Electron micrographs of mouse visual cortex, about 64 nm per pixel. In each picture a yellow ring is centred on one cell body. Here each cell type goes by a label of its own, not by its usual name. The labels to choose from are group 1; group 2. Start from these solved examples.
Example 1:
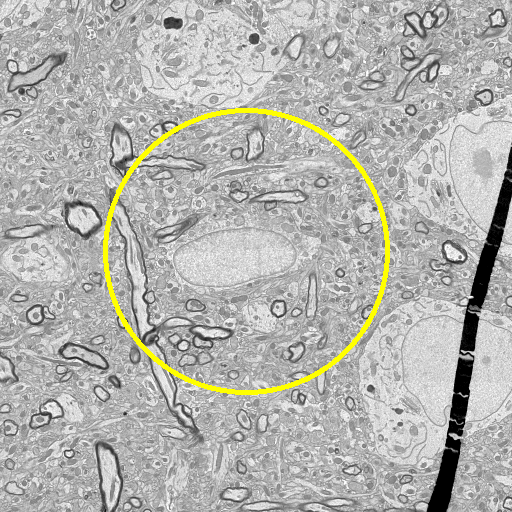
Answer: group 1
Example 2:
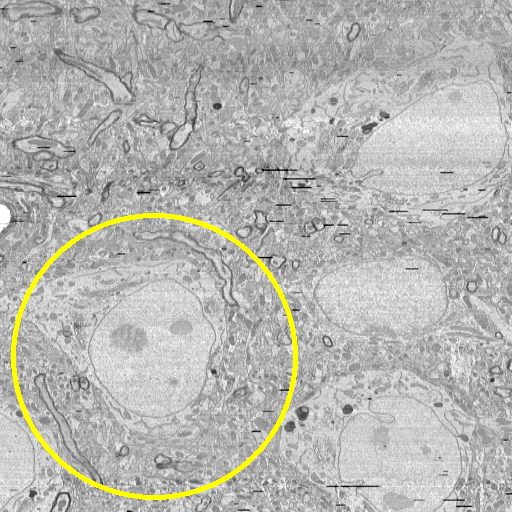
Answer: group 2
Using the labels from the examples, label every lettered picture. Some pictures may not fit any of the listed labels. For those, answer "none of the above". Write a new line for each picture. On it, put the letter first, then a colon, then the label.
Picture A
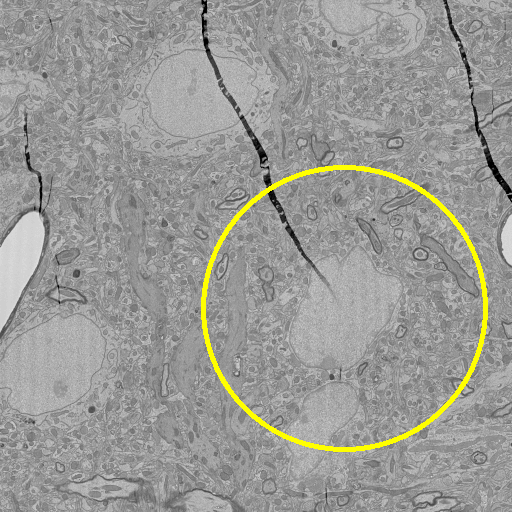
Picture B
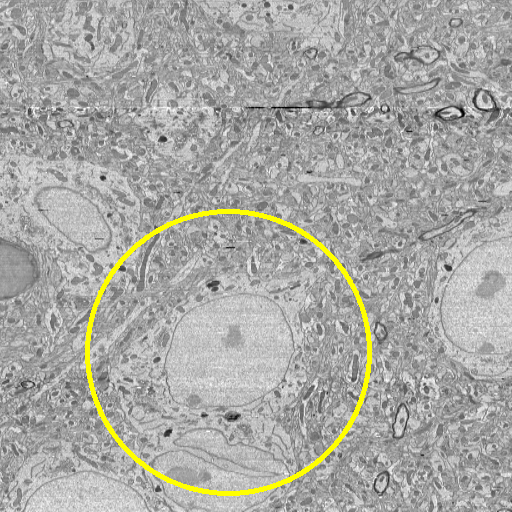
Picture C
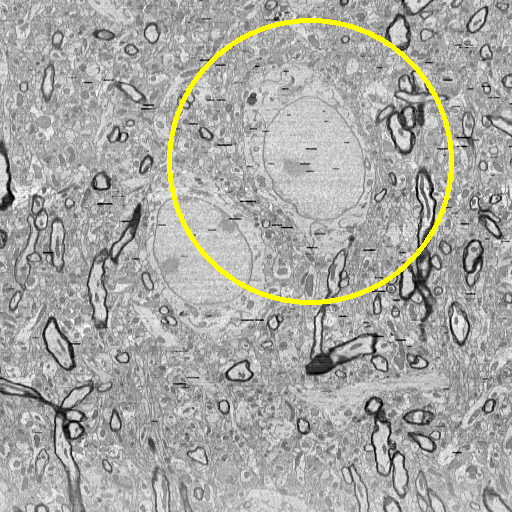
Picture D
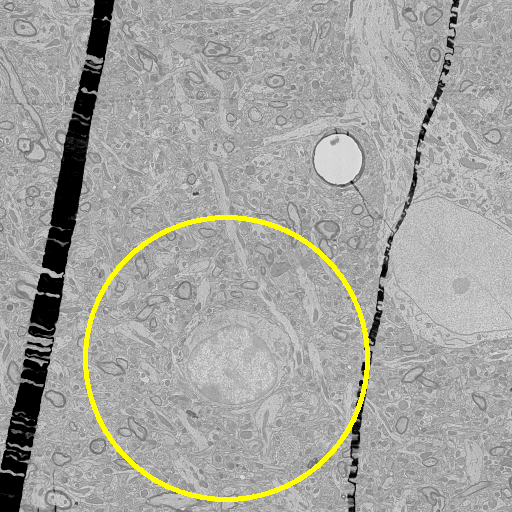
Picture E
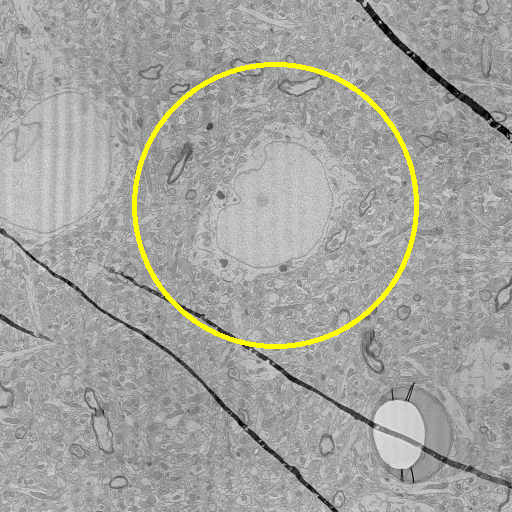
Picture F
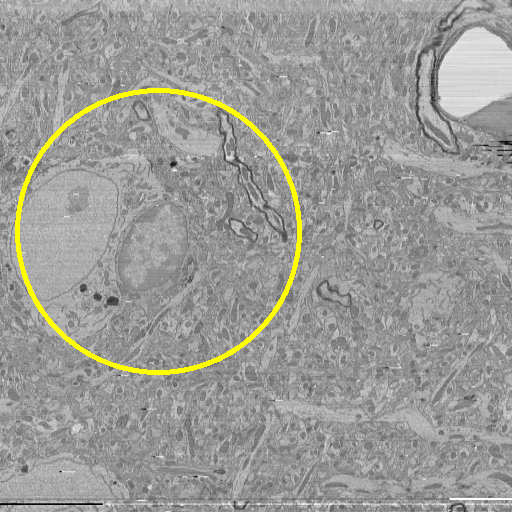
A: group 1
B: group 2
C: group 2
D: none of the above
E: group 2
F: none of the above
